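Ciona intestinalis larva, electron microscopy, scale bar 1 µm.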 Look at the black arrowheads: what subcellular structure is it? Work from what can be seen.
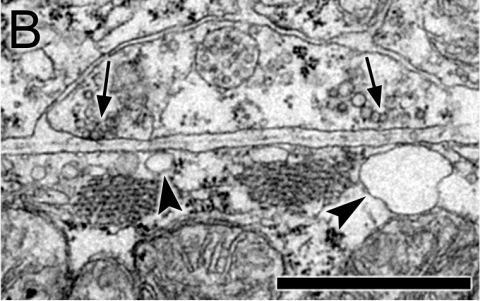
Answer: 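Pale, membrane-bound sacs lie just beneath the muscle surface. The sacs sit in the muscle cell next to bundles of myofilaments in cross-section.
Postsynaptic cisternae.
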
